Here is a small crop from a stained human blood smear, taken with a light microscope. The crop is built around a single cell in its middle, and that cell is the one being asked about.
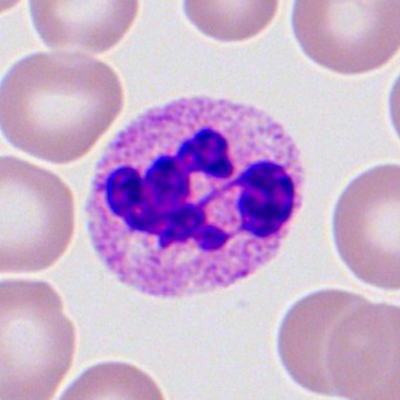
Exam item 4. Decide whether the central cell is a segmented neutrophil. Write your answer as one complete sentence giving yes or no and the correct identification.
Yes, the cell right in the middle is a segmented neutrophil.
